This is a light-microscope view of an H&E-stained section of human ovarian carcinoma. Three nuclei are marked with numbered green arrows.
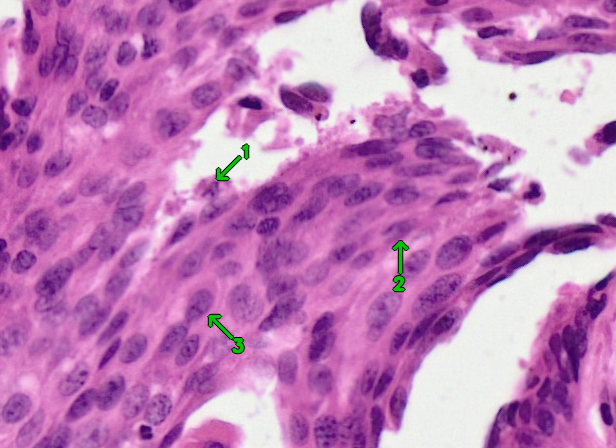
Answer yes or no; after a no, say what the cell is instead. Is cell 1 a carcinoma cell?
No, it is a macrophage or monocyte.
